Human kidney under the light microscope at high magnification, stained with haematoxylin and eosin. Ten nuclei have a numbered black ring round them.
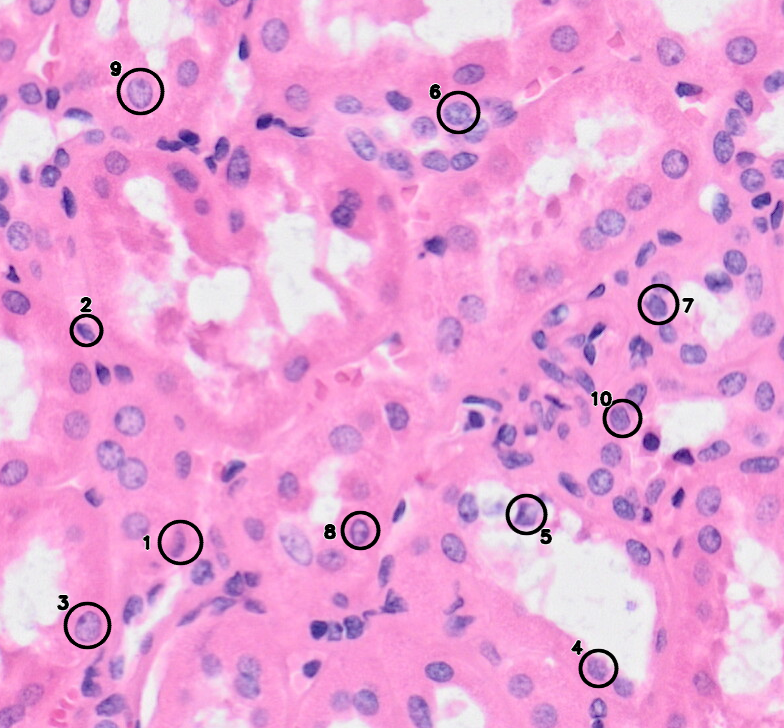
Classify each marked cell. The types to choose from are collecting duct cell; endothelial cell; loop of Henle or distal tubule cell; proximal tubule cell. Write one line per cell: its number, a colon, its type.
1: collecting duct cell
2: endothelial cell
3: proximal tubule cell
4: loop of Henle or distal tubule cell
5: loop of Henle or distal tubule cell
6: collecting duct cell
7: collecting duct cell
8: proximal tubule cell
9: proximal tubule cell
10: loop of Henle or distal tubule cell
